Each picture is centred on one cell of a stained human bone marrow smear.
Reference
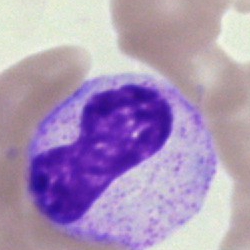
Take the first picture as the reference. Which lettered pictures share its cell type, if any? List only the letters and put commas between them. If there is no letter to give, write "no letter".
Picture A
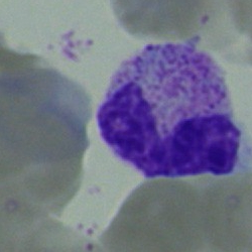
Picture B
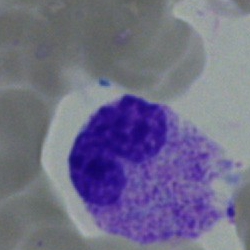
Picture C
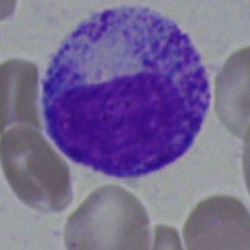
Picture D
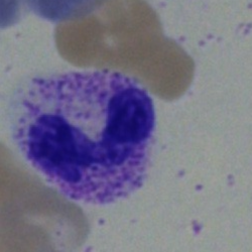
A, B, D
